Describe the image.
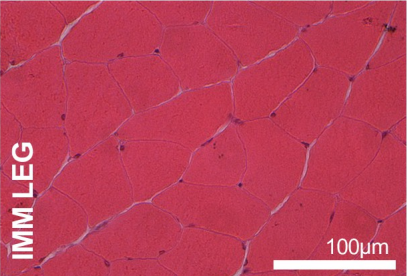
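Cross-section of skeletal muscle showing closely packed, polygonal myofibers with uniformly pink cytoplasm. Dark purple nuclei are found at the edges of the fibers, and thin pale connective tissue strands run between the fibers.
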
